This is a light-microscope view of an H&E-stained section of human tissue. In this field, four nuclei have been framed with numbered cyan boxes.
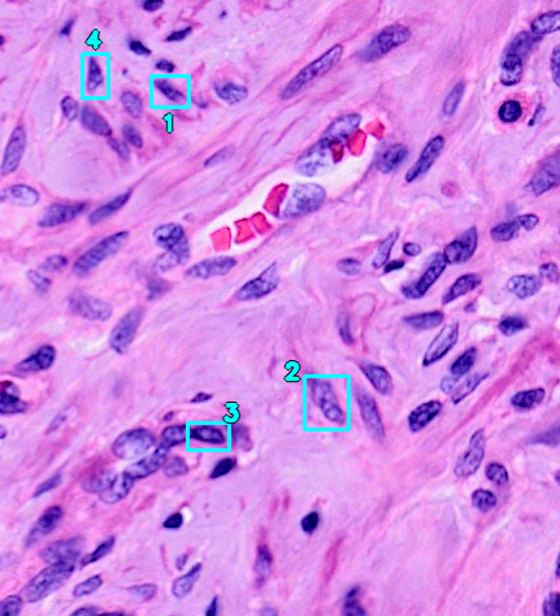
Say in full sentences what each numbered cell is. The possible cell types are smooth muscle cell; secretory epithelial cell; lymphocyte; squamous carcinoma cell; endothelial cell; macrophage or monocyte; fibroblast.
Cell 1 is a smooth muscle cell, cell 2 is a smooth muscle cell, cell 3 is an endothelial cell and cell 4 is a smooth muscle cell.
